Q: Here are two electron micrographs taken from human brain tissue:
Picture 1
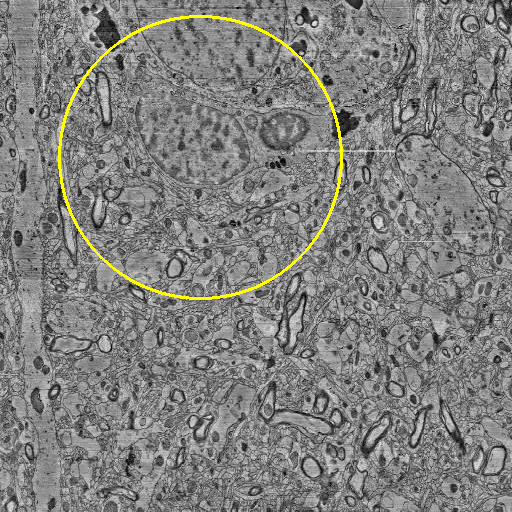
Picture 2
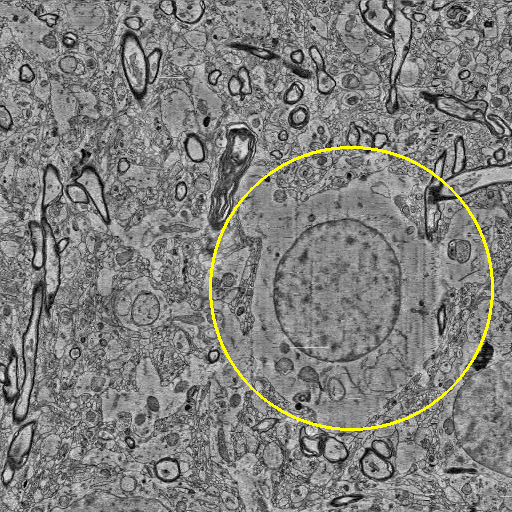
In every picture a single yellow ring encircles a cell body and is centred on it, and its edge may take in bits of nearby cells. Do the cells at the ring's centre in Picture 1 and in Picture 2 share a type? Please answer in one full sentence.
No, the cells at the ring's centre in Picture 1 and Picture 2 are of two types.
